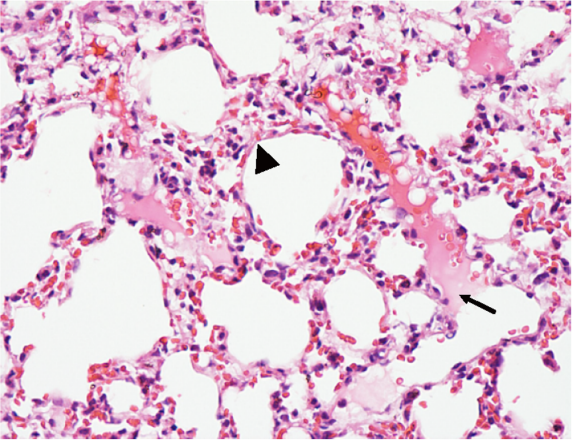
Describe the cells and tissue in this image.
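Injured lung with edema and thickened alveolar walls. Air spaces of varied size are bordered by septa that are wider than normal, containing several rows of purple nuclei and many red blood cells. Homogeneous pale pink, cell-poor fluid fills some spaces and lies along septa, in places with clear round bubbles and an orange-red band of red cells beside it. Some alveoli remain open and empty. The overall pattern is more crowded and less regular than the lacy network of normal lung.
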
